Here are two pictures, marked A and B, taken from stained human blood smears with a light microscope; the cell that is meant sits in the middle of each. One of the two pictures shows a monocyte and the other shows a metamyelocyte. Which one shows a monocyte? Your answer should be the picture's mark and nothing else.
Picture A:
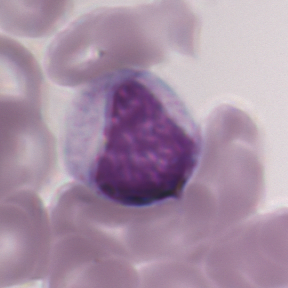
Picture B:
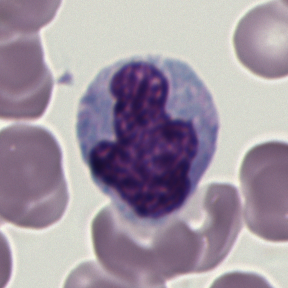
B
